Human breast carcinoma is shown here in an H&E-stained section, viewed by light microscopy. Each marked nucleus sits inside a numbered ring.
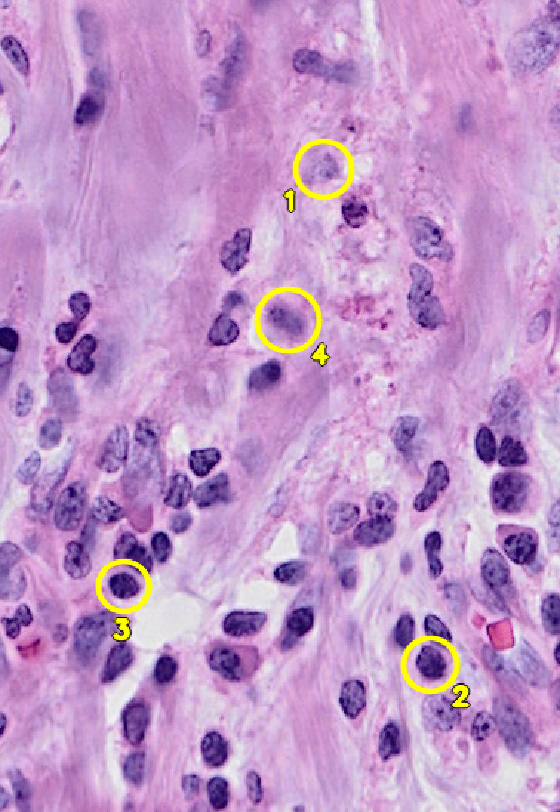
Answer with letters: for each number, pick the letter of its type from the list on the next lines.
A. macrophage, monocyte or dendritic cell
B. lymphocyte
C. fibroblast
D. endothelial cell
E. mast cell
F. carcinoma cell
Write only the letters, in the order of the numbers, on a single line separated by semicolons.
C; B; B; E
